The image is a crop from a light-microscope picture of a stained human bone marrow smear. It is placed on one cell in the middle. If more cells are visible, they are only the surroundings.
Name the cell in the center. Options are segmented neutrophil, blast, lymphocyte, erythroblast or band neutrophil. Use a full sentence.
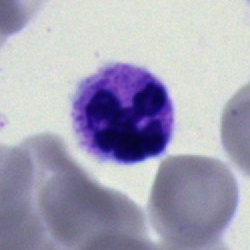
Within this crop, a segmented neutrophil occupies the central position.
